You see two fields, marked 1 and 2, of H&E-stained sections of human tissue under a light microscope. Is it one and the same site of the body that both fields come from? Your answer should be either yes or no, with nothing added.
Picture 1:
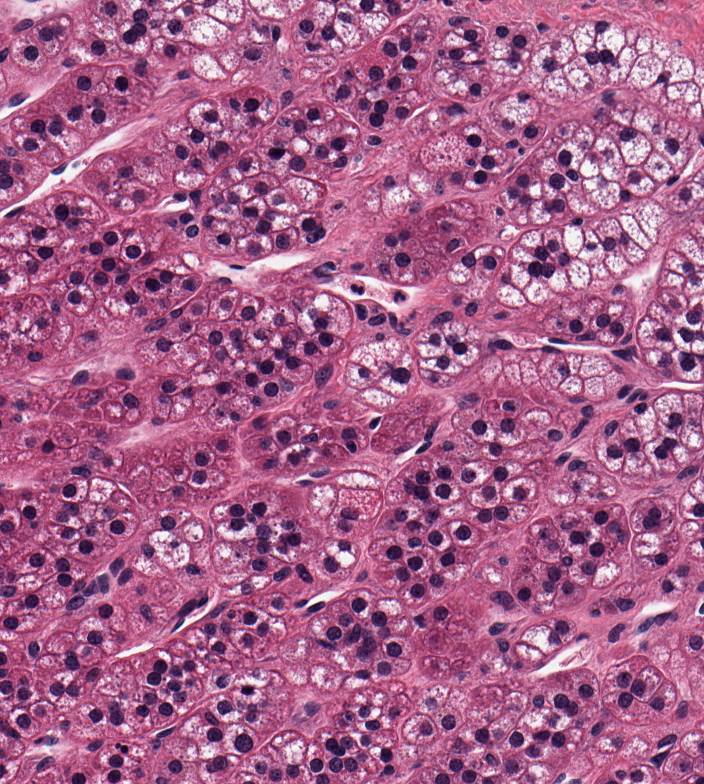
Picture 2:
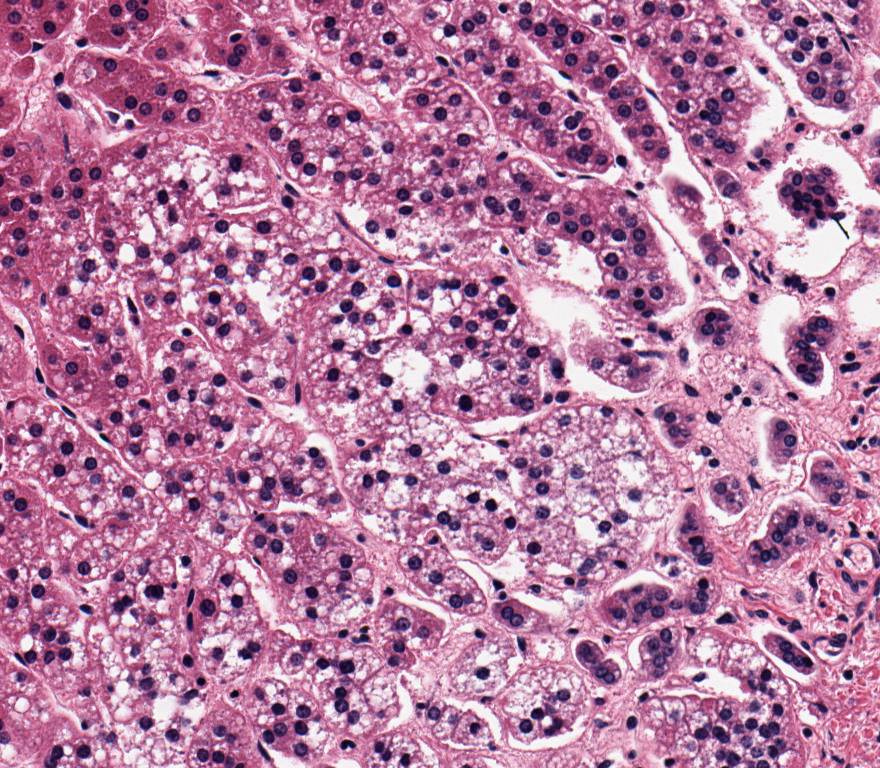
yes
